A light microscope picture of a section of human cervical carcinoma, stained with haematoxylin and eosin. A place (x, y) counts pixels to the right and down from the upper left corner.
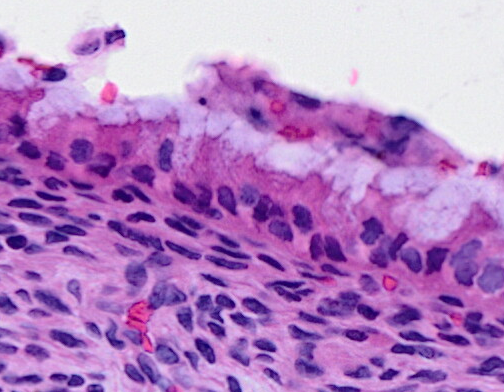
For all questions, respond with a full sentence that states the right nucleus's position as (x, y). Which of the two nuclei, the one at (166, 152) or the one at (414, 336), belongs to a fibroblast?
The nucleus at (414, 336) is assigned to a fibroblast.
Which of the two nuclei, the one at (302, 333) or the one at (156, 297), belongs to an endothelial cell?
Assigned to an endothelial cell is the nucleus located at (156, 297).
